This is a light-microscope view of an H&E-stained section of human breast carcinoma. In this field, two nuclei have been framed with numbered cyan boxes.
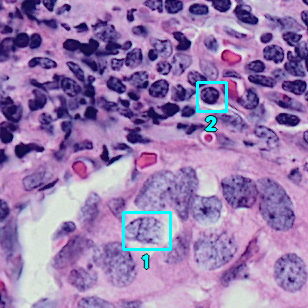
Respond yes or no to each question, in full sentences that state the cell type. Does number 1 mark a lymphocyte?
No, number 1 belongs to a carcinoma cell, not to a lymphocyte.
